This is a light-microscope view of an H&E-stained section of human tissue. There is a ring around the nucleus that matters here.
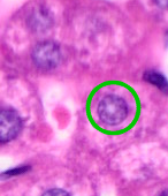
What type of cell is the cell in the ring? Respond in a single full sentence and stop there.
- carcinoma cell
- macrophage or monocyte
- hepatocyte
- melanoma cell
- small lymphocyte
Just put down that the cell in the ring is a hepatocyte.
